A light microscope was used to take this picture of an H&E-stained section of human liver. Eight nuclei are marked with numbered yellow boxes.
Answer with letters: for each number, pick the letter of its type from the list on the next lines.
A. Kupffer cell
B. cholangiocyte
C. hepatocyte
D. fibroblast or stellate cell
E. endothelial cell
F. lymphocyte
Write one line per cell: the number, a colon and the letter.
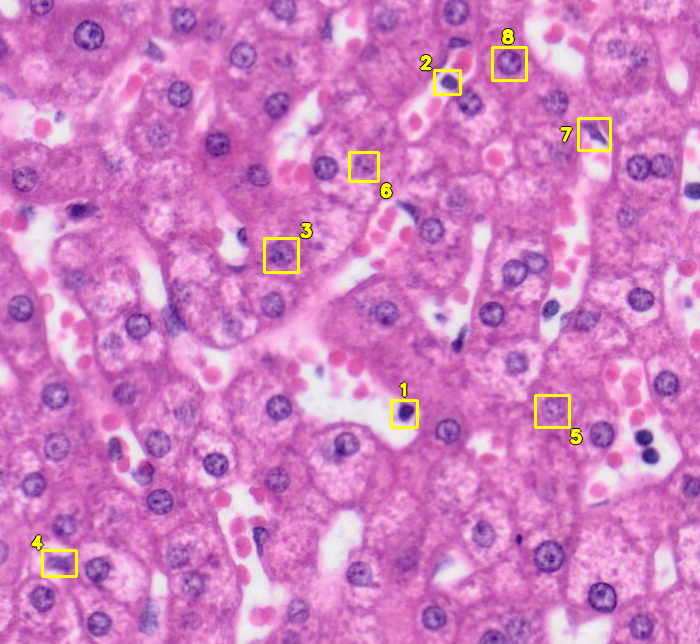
1: F
2: F
3: C
4: A
5: C
6: C
7: E
8: C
